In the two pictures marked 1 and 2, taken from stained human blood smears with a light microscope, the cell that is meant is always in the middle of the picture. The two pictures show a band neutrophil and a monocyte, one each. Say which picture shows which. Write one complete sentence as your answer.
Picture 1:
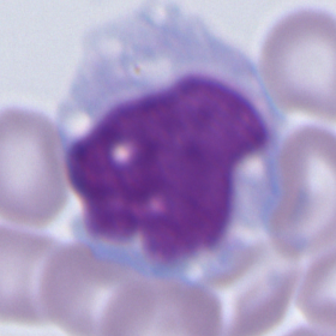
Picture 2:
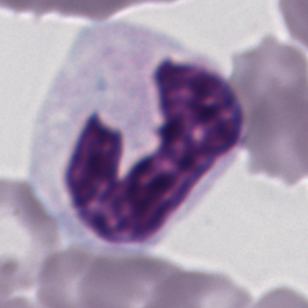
Picture 2 shows a band neutrophil, while picture 1 shows a monocyte.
